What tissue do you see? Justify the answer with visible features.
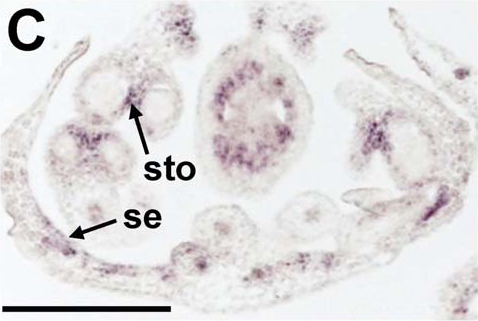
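Flower. A thin curved outer organ wraps around several inner organs. Rounded organs with internal chambers sit around a central oval organ.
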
